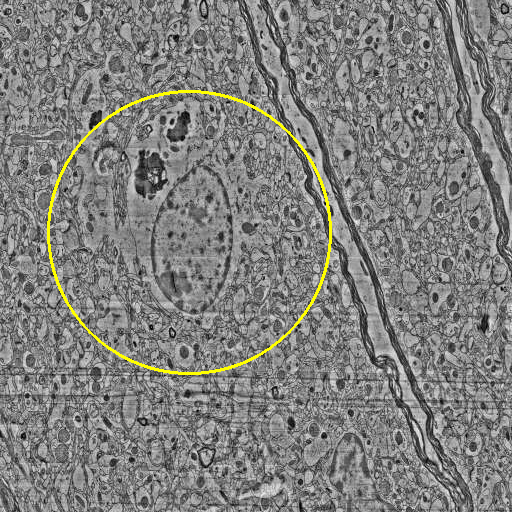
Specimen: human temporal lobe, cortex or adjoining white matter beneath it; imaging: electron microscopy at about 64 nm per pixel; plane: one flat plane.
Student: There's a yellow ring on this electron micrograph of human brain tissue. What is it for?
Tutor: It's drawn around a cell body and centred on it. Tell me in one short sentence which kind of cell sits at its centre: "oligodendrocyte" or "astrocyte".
The cell at the centre of the ring is an astrocyte.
